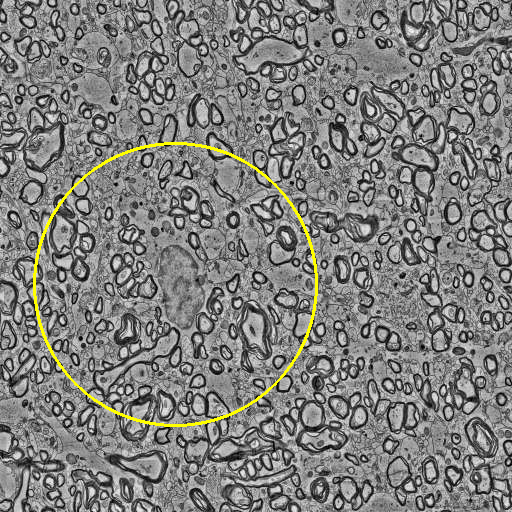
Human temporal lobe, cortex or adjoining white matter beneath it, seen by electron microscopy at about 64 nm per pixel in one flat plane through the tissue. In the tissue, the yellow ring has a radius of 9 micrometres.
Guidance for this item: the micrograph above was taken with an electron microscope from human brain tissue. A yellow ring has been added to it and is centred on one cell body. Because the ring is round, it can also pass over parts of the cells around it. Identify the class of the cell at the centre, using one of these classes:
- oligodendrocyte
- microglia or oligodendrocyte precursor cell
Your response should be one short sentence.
The ring surrounds the body of an oligodendrocyte.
